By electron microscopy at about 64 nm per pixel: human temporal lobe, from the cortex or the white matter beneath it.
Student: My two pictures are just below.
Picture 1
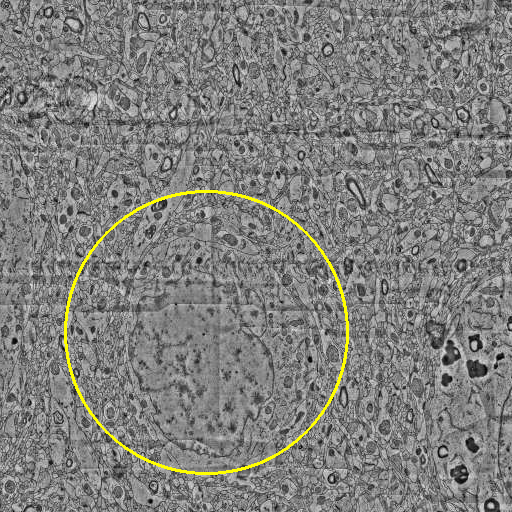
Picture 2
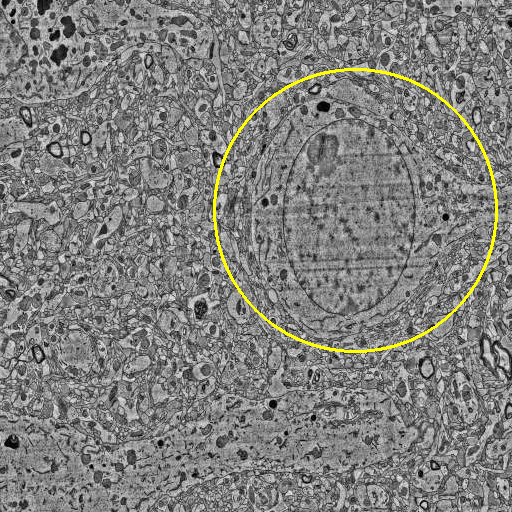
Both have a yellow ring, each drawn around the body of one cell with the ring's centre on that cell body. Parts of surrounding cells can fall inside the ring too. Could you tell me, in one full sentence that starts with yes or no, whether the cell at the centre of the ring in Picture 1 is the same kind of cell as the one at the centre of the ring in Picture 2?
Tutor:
No, the two cells are of two kinds.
